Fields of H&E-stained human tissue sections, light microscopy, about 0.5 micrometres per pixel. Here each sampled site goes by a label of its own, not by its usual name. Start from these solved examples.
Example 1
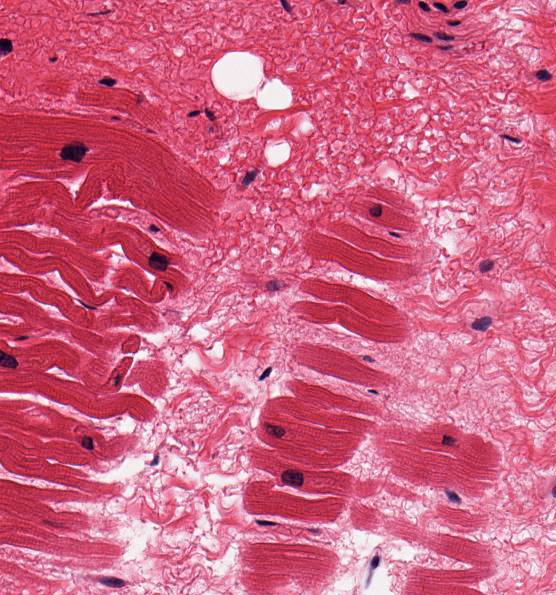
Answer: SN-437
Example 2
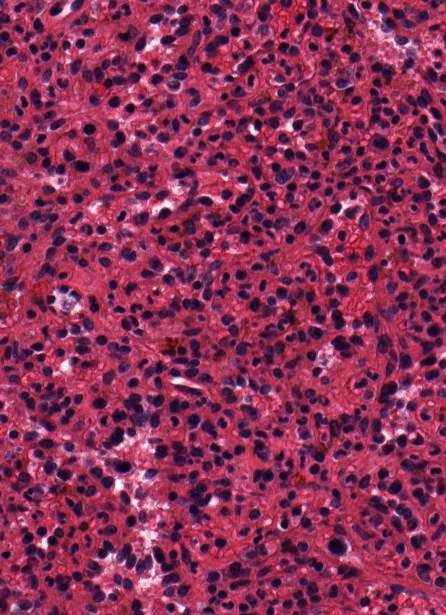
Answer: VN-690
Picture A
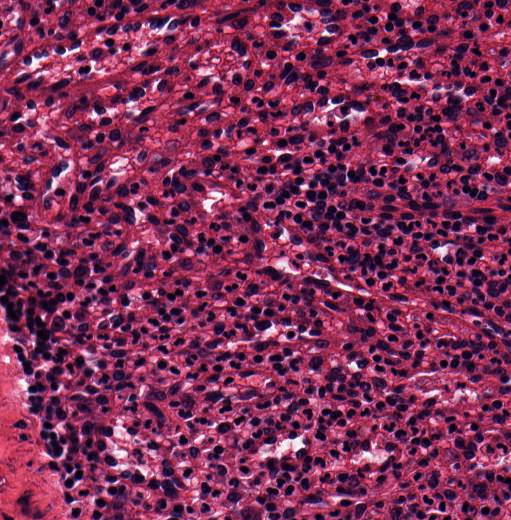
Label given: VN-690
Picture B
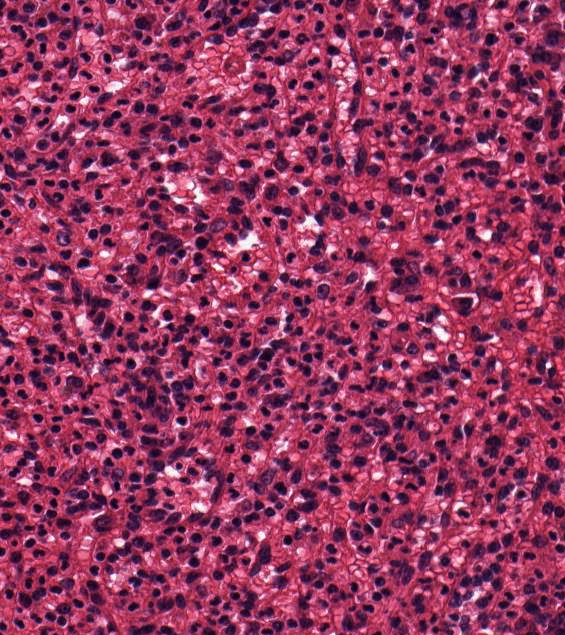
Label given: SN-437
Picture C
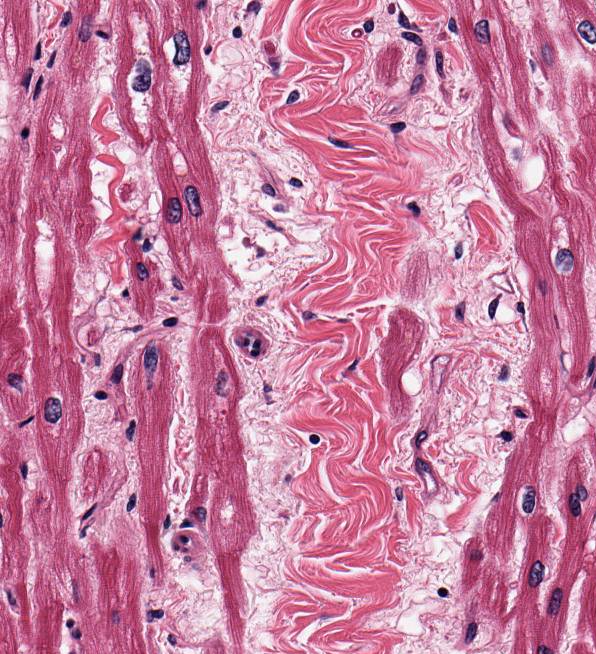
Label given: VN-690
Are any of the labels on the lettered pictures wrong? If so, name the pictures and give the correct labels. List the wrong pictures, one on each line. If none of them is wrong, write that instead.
Wrong: B (SN-437); correct: VN-690
Wrong: C (VN-690); correct: SN-437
